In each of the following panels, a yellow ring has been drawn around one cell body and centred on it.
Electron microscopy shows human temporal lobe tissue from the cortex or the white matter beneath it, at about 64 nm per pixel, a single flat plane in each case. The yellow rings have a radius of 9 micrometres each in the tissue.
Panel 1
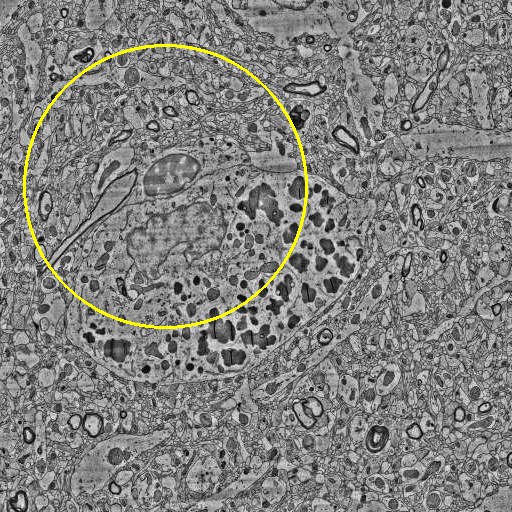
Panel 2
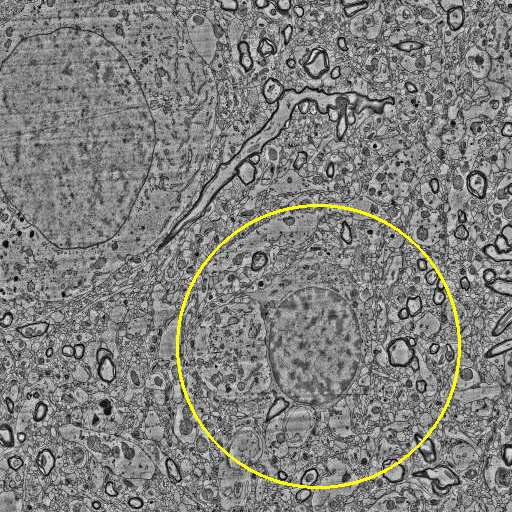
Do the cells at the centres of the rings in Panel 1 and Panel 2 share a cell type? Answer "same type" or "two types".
two types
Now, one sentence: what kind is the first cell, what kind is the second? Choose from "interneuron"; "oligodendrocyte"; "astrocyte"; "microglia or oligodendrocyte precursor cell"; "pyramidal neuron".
The first picture has a microglial cell or oligodendrocyte precursor cell at its ring centre, and the second has an oligodendrocyte.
